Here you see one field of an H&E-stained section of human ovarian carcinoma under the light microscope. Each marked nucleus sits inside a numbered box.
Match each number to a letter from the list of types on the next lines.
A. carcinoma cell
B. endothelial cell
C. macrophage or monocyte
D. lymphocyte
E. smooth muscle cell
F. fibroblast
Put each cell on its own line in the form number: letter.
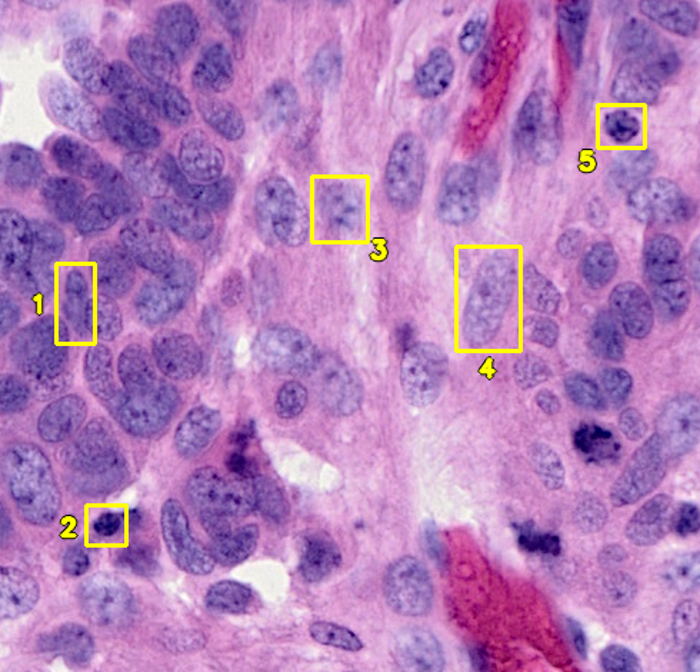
1: A
2: D
3: F
4: F
5: D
